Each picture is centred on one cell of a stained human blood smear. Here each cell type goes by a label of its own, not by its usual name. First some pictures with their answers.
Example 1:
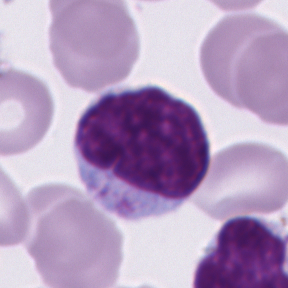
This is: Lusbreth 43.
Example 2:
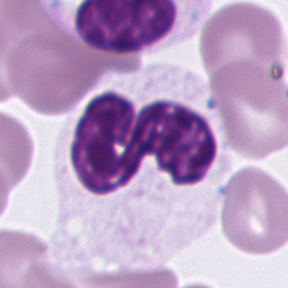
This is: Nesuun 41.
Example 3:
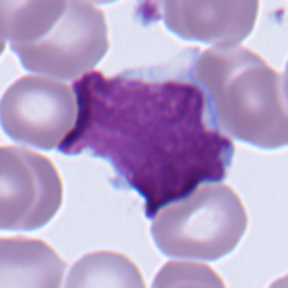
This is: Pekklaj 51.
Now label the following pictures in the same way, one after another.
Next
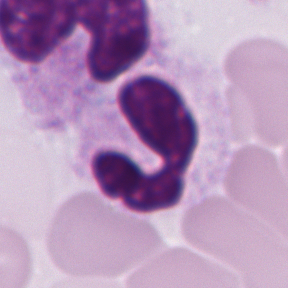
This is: Nesuun 41.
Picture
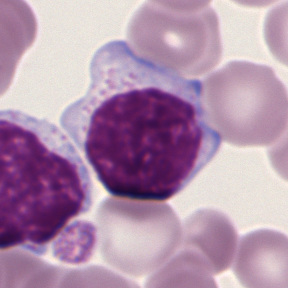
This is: Lusbreth 43.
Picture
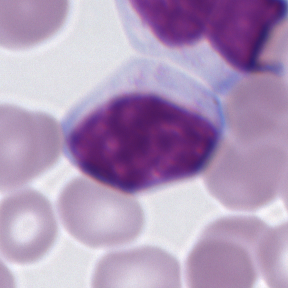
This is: Lusbreth 43.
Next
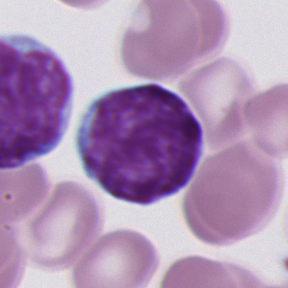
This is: Pekklaj 51.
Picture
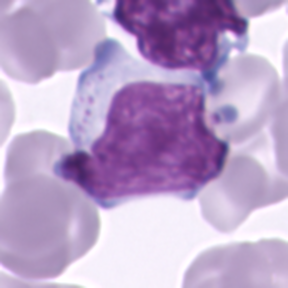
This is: Lusbreth 43.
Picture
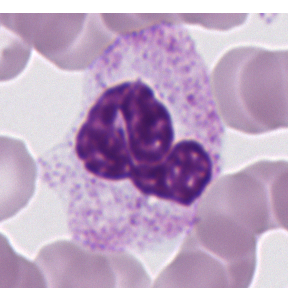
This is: Nesuun 41.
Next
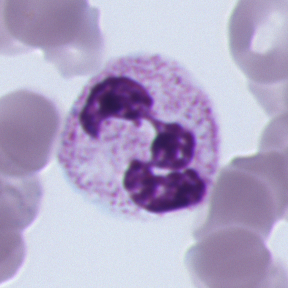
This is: Nesuun 41.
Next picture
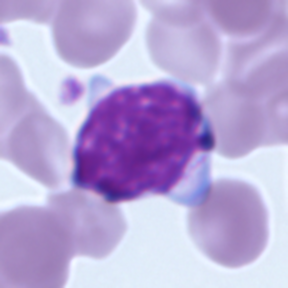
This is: Lusbreth 43.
